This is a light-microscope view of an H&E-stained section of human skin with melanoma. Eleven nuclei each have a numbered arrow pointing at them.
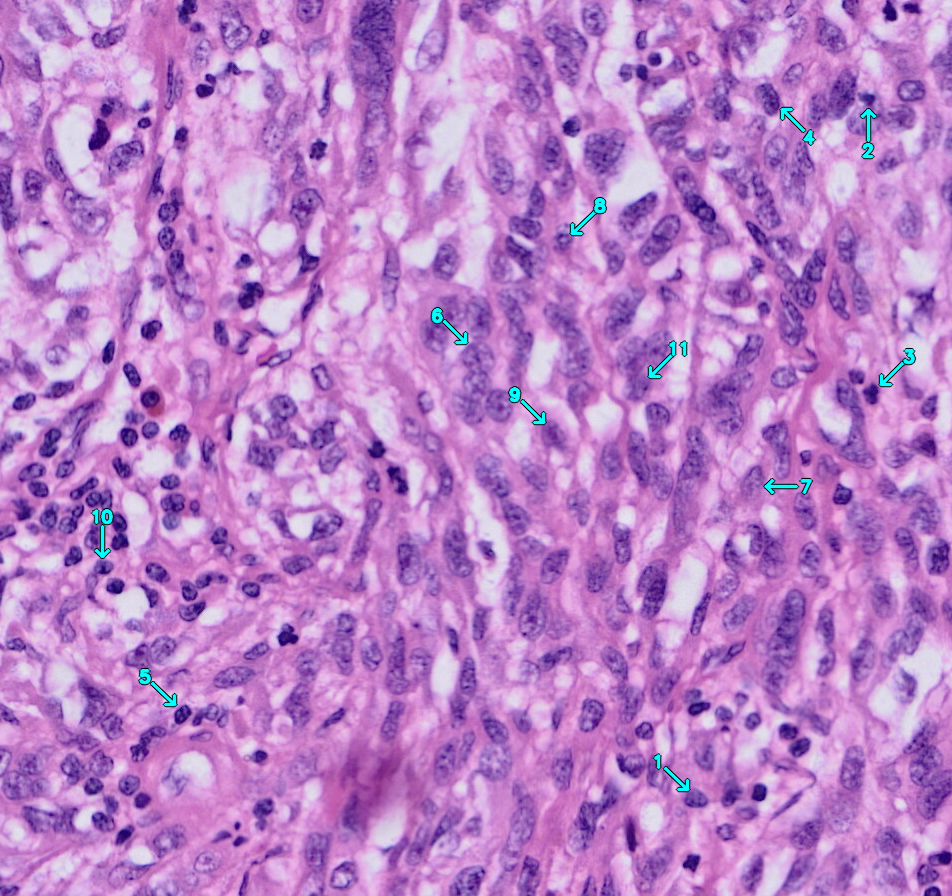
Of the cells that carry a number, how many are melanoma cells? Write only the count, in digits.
6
